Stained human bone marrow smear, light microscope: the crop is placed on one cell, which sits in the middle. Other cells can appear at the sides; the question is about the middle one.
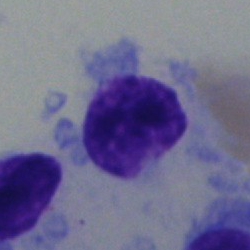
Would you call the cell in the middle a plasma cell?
no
